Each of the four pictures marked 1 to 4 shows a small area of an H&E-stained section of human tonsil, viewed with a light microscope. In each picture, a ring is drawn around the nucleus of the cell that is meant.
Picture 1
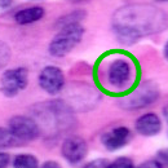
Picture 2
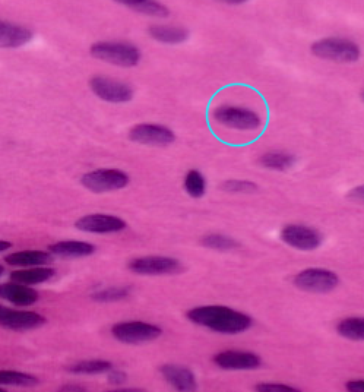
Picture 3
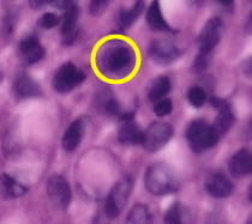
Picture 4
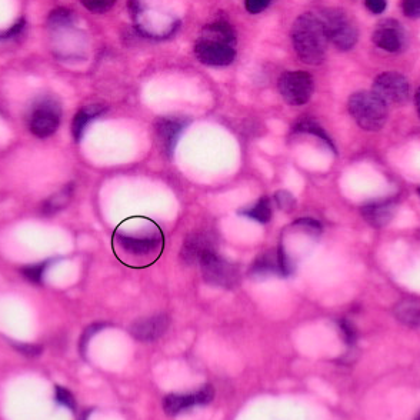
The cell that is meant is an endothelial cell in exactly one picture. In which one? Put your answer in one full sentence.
The picture with the endothelial cell is 1.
